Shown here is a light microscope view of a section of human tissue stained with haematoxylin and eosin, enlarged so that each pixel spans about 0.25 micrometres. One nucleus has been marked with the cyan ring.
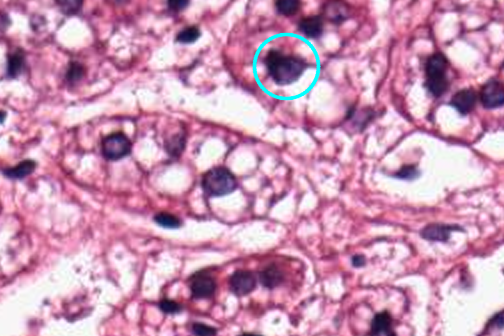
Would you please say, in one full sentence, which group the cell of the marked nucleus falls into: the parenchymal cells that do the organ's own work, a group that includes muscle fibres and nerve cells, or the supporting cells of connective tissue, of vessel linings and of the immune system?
In the image the marked nucleus is that of an adrenal cortical cell, a parenchymal cell.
